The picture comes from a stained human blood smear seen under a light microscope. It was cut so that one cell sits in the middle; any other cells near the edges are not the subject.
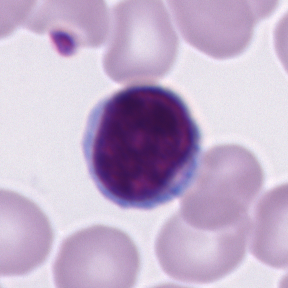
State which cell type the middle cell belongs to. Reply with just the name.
lymphocyte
